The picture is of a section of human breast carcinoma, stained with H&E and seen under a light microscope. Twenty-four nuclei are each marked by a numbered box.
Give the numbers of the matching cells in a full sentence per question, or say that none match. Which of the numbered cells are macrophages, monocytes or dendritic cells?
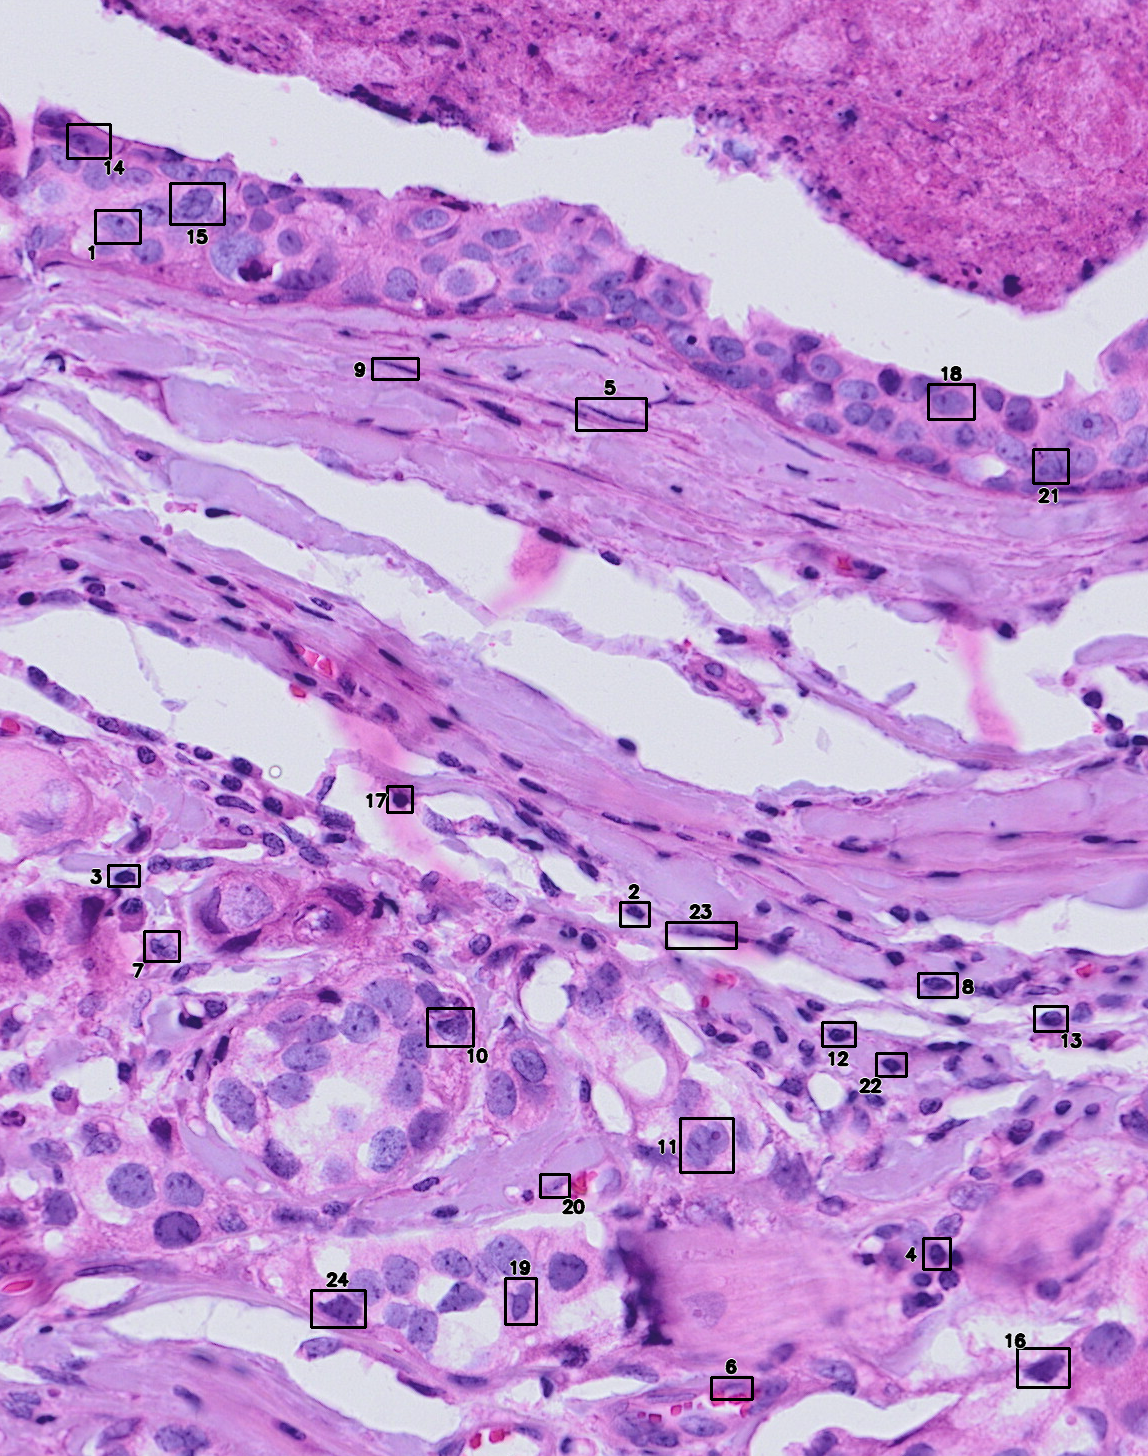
Cell 7 stands alone among the numbered cells as a macrophage, monocyte or dendritic cell.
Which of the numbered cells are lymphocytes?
Cells 2, 3, 4, 8, 12, 13, 17 and 22 share one type; they are lymphocytes.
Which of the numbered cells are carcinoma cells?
The cells 1, 10, 11, 14, 15, 16, 18, 19, 21 and 24 in this section are carcinoma cells.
